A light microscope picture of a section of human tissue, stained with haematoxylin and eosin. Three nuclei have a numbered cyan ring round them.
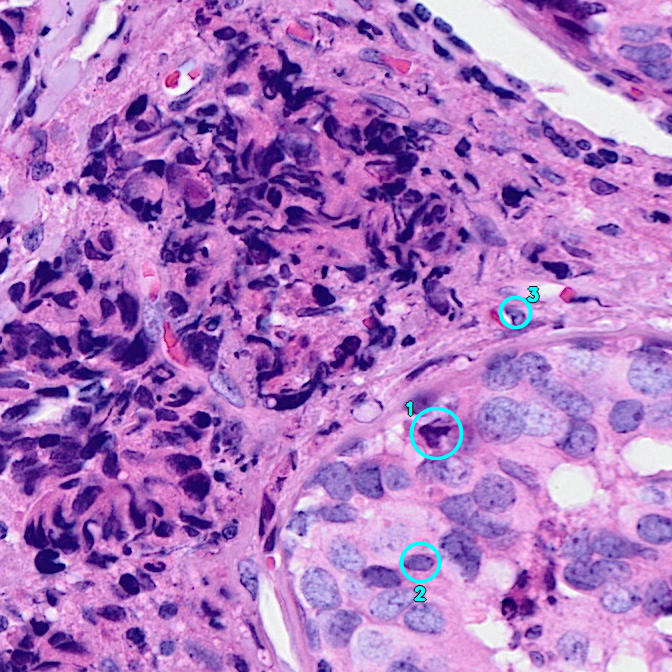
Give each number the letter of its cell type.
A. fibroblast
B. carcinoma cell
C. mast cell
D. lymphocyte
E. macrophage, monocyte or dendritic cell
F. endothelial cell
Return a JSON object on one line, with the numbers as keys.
{"1": "B", "2": "B", "3": "F"}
